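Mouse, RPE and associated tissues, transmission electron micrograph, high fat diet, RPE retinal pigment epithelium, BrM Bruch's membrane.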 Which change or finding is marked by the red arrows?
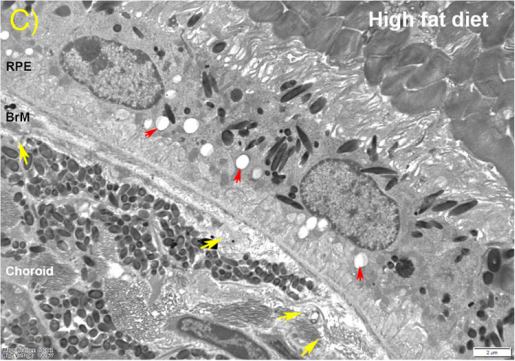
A: Vacuoles.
